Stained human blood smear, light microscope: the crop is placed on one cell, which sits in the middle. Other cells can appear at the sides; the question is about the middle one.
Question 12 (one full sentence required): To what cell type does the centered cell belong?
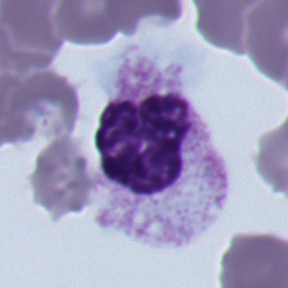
The central cell in this smear crop is a segmented neutrophil.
